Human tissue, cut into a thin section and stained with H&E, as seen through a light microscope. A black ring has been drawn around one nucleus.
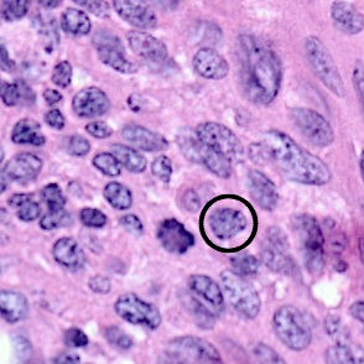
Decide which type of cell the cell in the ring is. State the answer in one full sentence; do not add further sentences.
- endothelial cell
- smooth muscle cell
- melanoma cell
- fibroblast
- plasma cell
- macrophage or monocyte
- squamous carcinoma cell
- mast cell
As for its identity, the cell in the ring is a squamous carcinoma cell.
